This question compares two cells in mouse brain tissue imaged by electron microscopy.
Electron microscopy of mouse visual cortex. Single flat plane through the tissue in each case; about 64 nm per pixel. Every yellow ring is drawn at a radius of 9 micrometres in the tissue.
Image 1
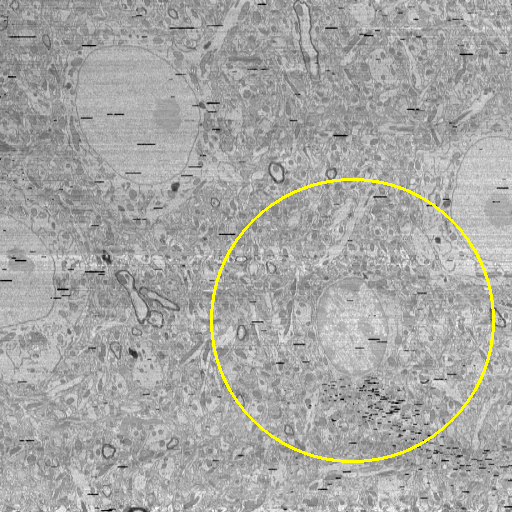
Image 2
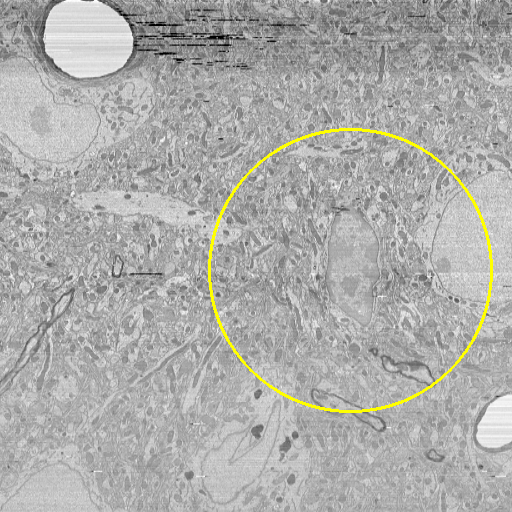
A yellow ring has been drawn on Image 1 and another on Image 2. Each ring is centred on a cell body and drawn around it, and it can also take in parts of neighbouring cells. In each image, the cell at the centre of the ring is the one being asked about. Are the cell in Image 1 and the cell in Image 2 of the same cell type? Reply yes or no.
no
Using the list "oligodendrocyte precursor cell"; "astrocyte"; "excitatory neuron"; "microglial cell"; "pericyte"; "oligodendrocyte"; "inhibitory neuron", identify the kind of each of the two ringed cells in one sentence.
The first is an oligodendrocyte and the second is a microglial cell.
